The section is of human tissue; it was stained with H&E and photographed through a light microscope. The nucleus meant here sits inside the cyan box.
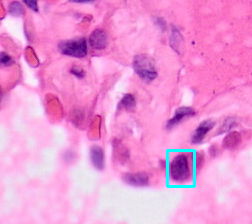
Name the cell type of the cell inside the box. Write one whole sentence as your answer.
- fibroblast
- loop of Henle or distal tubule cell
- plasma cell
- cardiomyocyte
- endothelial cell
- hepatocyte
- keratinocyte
The cell type of the cell inside the box is that of a plasma cell.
